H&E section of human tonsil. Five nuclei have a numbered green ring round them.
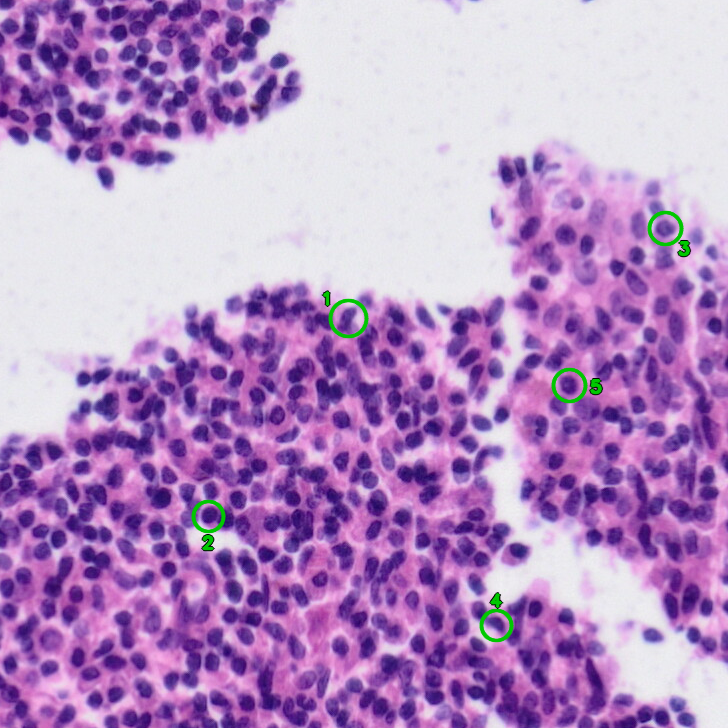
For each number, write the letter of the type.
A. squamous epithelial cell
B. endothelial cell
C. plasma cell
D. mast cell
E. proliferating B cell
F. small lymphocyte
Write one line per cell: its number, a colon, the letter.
1: F
2: F
3: C
4: F
5: C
